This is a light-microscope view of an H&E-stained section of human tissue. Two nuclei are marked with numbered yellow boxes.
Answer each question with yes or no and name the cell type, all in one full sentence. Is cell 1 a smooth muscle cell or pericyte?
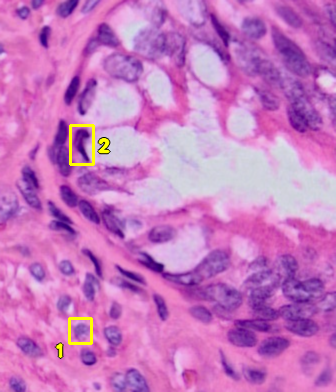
Yes, it is a smooth muscle cell or pericyte that number 1 identifies.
